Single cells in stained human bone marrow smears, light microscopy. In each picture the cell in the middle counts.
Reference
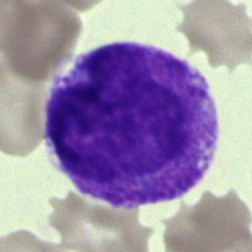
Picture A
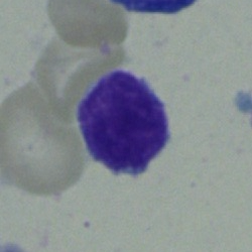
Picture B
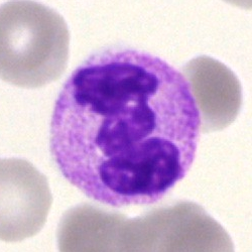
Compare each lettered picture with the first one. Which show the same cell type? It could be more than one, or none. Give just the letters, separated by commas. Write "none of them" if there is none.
A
